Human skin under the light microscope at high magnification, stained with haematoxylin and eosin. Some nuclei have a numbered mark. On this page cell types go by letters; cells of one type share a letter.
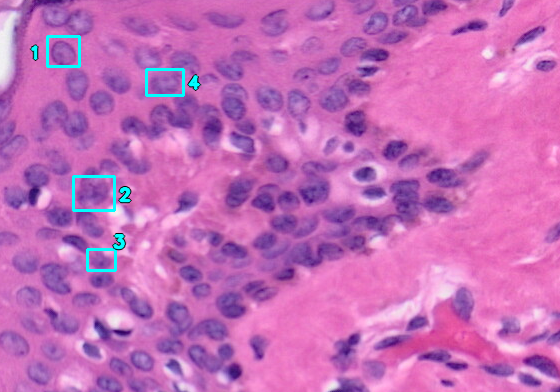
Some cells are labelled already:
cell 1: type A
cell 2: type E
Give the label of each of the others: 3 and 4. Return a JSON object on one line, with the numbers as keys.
{"3": "type E", "4": "type A"}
